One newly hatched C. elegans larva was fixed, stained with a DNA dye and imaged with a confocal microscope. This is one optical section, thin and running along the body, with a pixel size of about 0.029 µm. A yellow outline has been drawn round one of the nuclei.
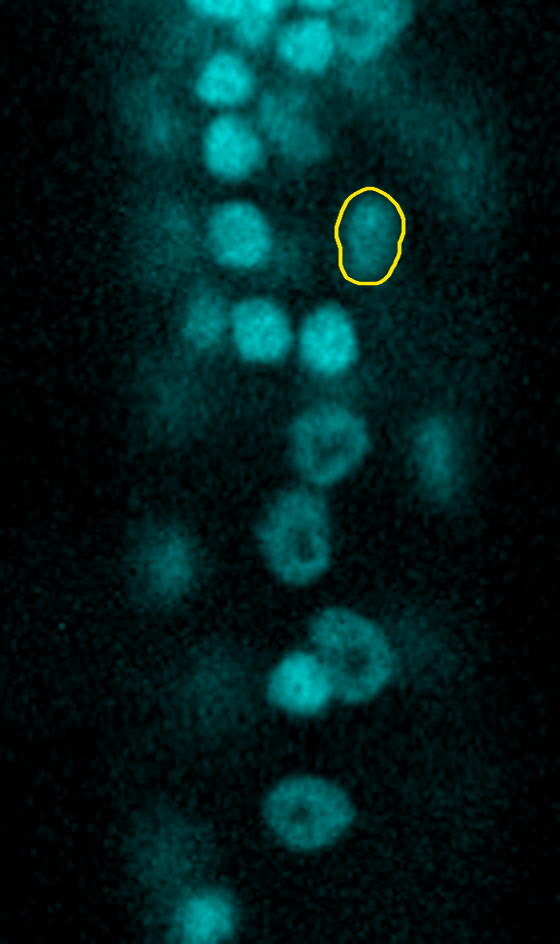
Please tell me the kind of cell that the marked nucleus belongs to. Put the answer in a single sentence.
What is marked is the nucleus of a pharyngeal marginal cell.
